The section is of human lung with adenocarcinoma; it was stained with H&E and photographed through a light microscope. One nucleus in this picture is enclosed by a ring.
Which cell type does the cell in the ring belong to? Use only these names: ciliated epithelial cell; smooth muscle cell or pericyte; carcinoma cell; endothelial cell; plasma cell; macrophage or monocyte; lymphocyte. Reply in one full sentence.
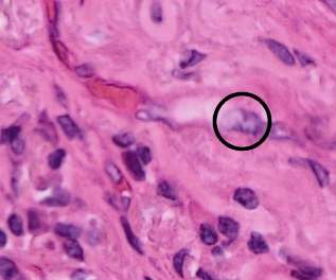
In this tissue sample, the cell in the ring is an endothelial cell.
